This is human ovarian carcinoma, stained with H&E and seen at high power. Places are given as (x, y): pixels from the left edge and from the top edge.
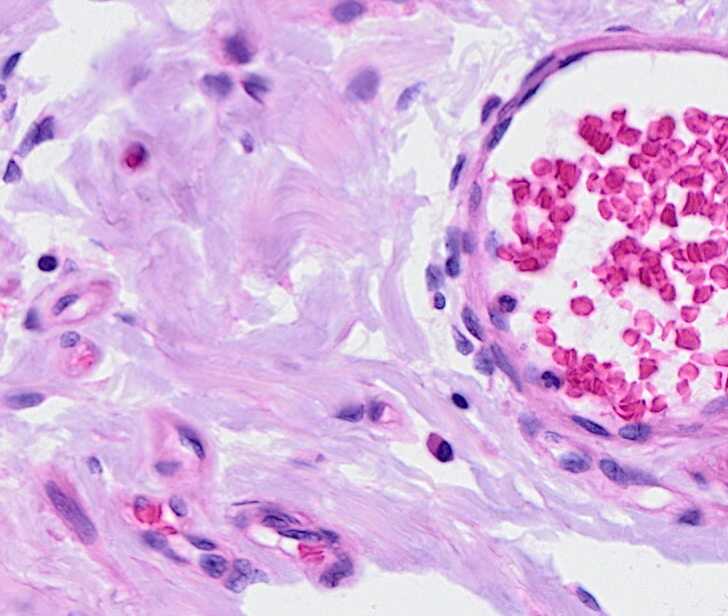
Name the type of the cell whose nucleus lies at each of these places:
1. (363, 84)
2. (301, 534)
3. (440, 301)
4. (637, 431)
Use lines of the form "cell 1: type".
cell 1: fibroblast
cell 2: endothelial cell
cell 3: lymphocyte
cell 4: endothelial cell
